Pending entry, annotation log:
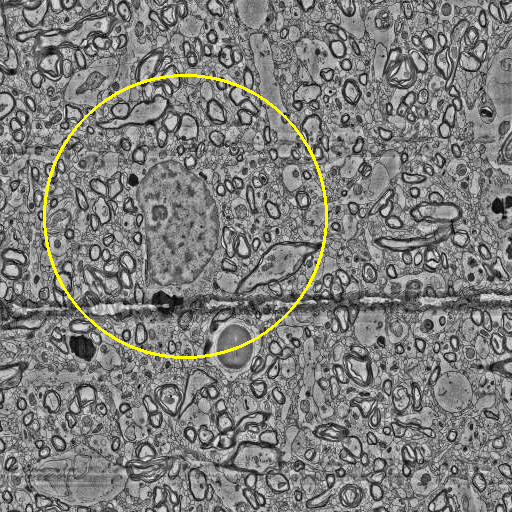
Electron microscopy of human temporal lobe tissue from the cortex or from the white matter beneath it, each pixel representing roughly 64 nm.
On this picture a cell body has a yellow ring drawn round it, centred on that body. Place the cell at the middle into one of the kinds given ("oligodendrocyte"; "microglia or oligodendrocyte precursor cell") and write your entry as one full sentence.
The cell body at the middle of the yellow ring belongs to an oligodendrocyte.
